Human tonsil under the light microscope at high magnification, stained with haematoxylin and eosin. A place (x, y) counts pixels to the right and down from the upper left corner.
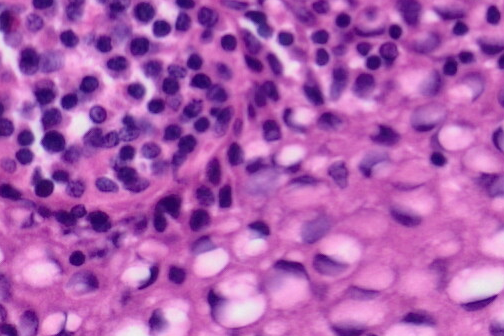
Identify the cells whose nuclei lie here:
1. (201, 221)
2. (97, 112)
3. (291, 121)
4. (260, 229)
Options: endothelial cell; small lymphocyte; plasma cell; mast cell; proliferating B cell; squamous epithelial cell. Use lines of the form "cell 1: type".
cell 1: squamous epithelial cell
cell 2: plasma cell
cell 3: squamous epithelial cell
cell 4: squamous epithelial cell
